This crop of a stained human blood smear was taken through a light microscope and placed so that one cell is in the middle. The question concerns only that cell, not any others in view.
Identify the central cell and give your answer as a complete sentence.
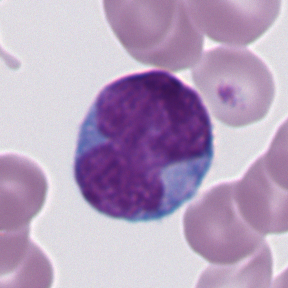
The cell at the centre of the field is a monocyte.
